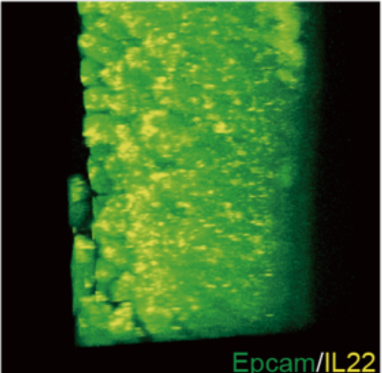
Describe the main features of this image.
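The green tissue forms a broad band running down the field, its surface uneven and folded along one edge. Scattered throughout the green band are many small, bright yellow spots, roughly the size of single cells. At the left edge the dark background lies beside the tissue margin.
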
